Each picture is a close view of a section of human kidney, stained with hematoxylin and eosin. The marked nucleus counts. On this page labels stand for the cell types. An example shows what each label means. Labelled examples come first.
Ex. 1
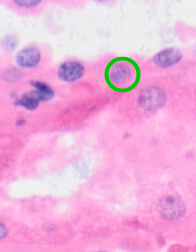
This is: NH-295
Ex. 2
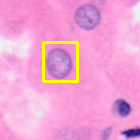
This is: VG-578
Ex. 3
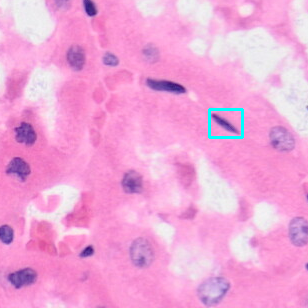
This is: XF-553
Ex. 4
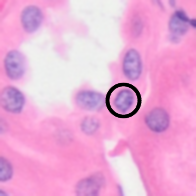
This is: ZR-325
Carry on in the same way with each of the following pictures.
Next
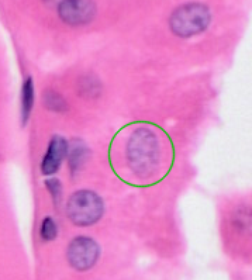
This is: VG-578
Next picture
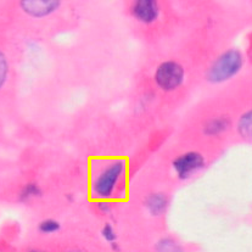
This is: XF-553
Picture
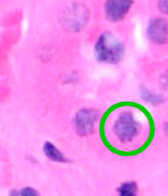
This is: NH-295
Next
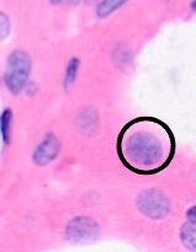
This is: NH-295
